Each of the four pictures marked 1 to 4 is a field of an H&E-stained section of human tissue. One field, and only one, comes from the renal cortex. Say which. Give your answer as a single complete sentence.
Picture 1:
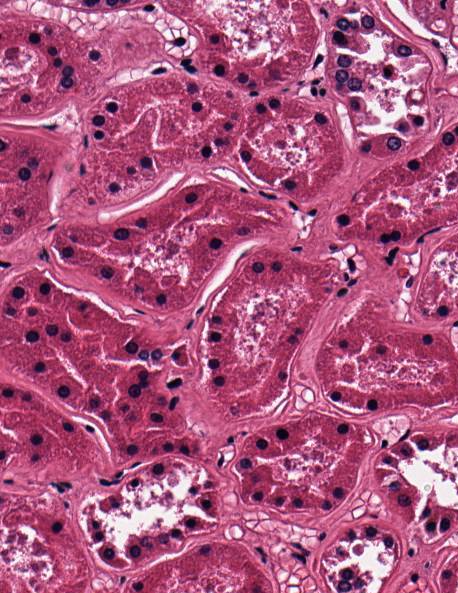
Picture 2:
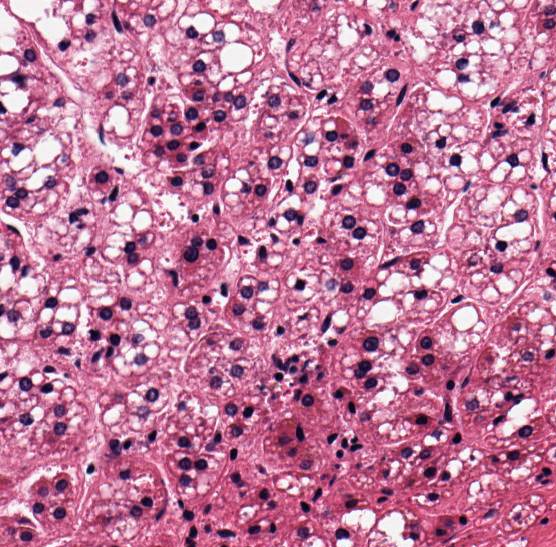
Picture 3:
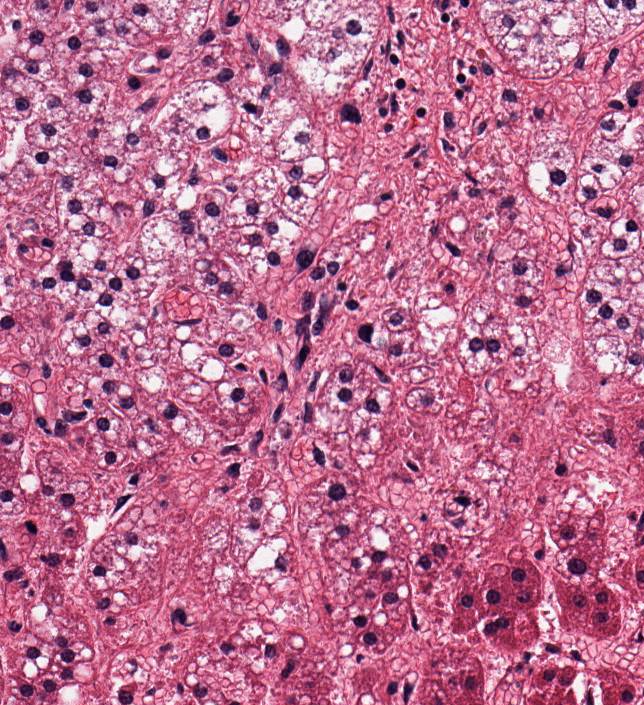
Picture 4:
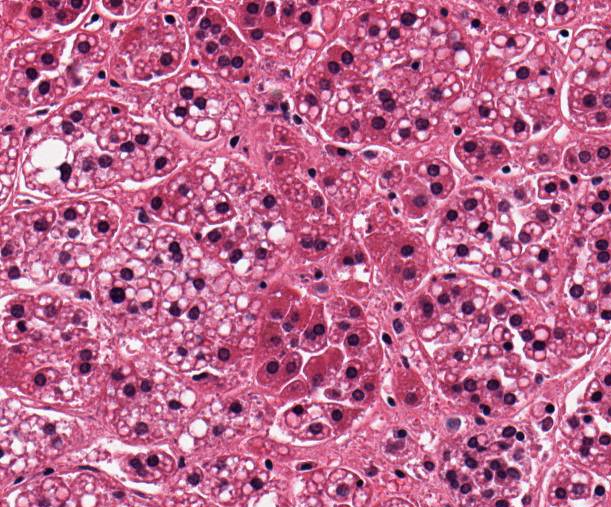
Picture 1 comes from the renal cortex.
